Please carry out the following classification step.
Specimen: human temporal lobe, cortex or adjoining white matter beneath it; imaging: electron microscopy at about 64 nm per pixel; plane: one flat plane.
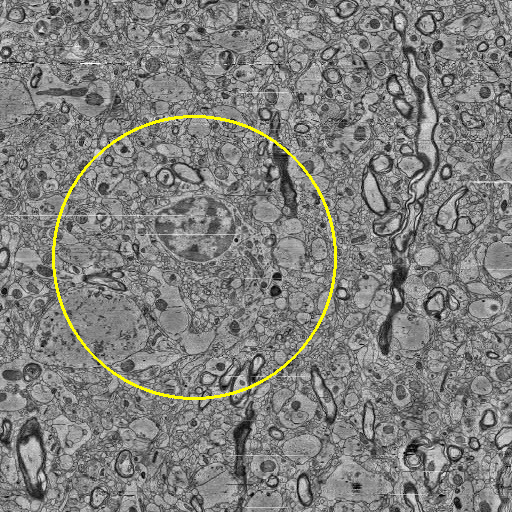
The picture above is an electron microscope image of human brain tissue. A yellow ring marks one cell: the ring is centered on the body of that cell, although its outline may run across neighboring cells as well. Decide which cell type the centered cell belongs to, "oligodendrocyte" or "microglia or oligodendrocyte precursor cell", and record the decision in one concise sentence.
The cell centered in the yellow ring is a microglial cell or oligodendrocyte precursor cell.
